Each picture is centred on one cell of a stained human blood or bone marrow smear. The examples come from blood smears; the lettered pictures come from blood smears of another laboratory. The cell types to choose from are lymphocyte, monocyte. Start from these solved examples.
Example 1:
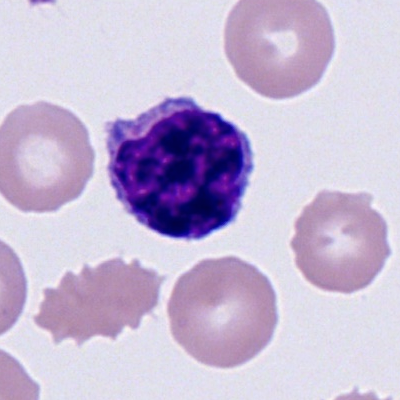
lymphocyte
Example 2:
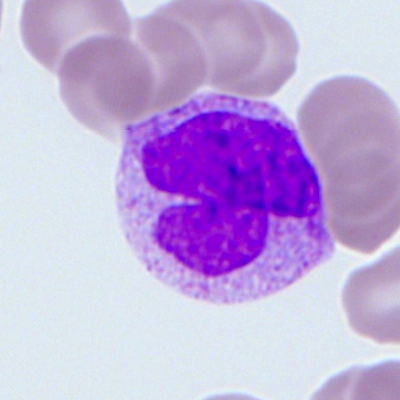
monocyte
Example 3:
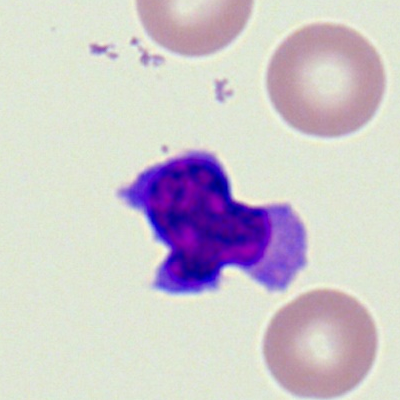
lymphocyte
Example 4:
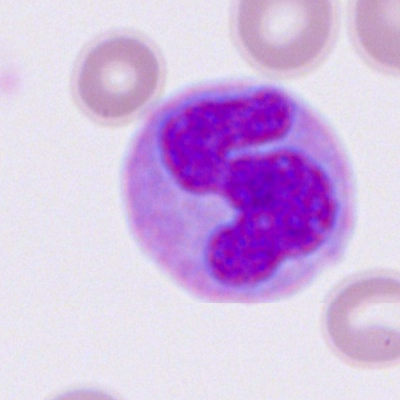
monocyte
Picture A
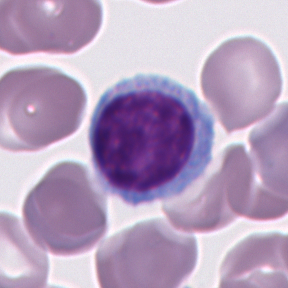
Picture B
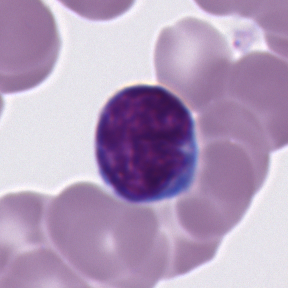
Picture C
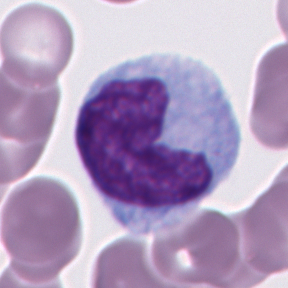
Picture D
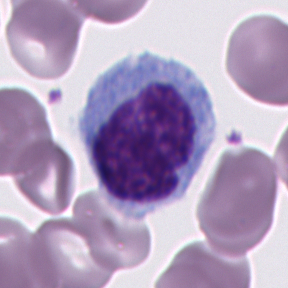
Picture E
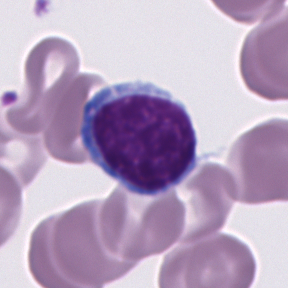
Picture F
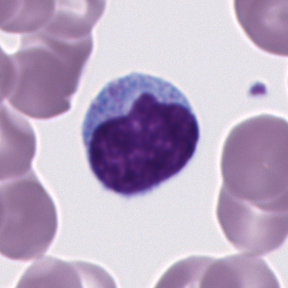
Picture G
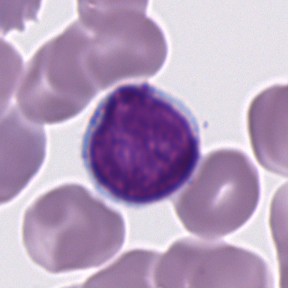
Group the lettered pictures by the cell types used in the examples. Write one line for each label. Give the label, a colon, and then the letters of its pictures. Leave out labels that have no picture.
lymphocyte: A, B, E, F, G
monocyte: C, D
